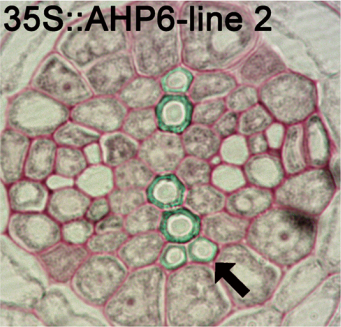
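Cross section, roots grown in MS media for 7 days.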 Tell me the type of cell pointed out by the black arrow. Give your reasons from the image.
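The arrowed cell has a green-stained thickened wall. It sits next to the row of green-walled cells, off that row's line.
Answer: extra xylem cells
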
